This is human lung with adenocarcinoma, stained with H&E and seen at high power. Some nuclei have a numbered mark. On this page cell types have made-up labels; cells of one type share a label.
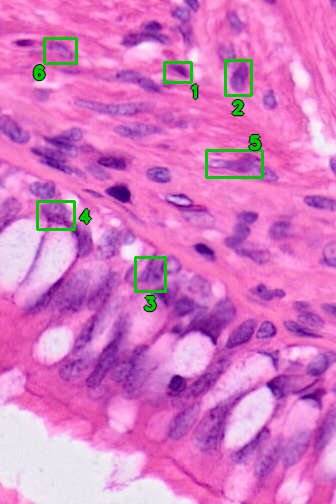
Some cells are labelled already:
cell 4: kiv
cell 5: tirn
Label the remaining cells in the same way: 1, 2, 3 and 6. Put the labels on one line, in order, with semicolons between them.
tirn; tirn; kiv; tirn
